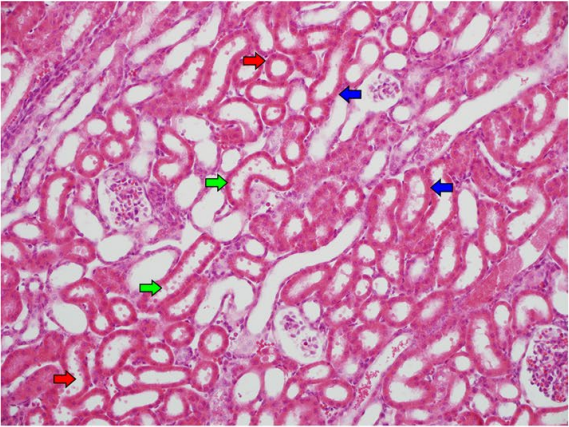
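Cross- and oblique-cut proximal tubules of the renal cortex are lined by pink-staining epithelial cells with round purple nuclei, with a few glomeruli visible among them. Many tubules have markedly widened, clear lumens, and in several the epithelial lining is flattened into a thin rim. Small pale rounded protrusions bulge from the epithelial surface into some lumens. Together these show dilated tubules with thinned epithelium and epithelial blebs, features of tubular injury.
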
